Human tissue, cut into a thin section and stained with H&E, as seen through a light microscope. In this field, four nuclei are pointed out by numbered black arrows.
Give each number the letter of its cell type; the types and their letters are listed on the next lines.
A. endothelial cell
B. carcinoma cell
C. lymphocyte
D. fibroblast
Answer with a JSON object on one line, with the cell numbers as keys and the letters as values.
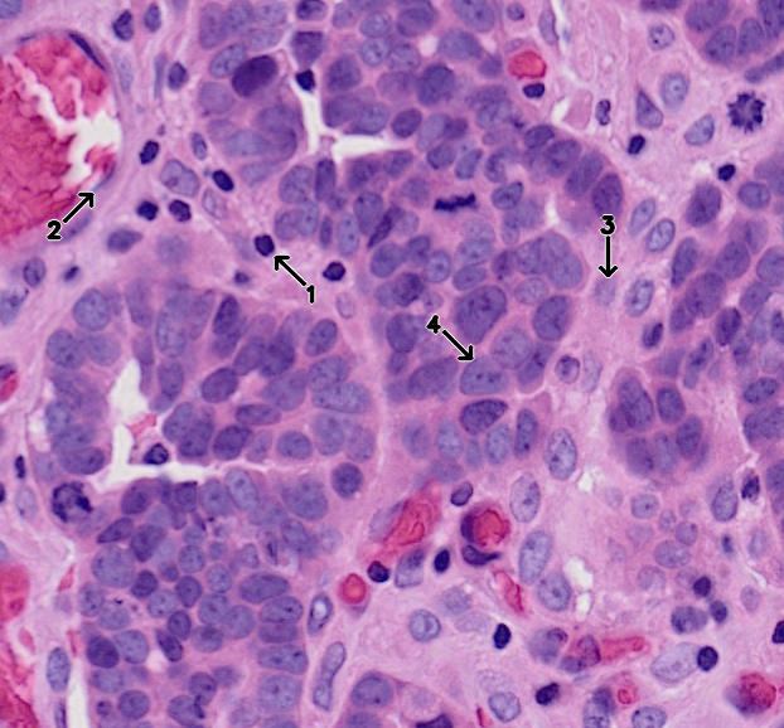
{"1": "C", "2": "A", "3": "D", "4": "B"}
